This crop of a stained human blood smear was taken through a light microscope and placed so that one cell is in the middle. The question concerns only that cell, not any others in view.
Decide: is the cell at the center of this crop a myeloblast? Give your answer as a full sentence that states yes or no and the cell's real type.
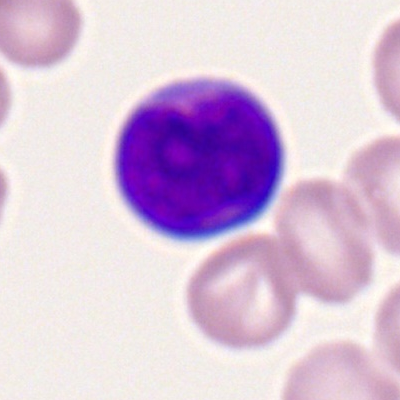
Yes, the cell shown centrally is a myeloblast.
